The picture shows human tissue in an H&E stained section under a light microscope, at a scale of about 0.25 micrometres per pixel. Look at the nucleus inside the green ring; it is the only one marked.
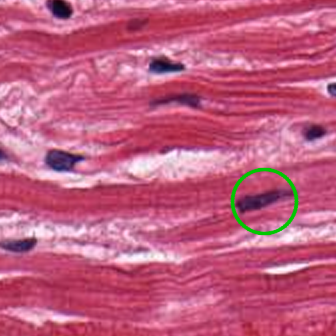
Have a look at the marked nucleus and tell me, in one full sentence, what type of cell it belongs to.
The marked nucleus is part of a cardiomyocyte.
